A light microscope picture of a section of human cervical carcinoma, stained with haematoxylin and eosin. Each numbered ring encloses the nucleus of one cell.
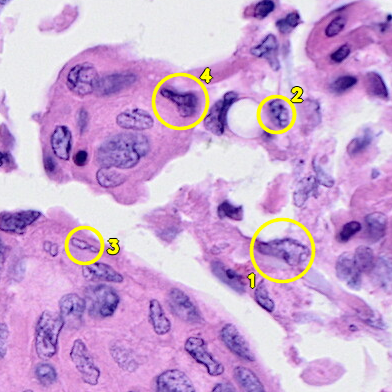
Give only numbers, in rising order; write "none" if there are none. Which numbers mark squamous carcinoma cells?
3, 4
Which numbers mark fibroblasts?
1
